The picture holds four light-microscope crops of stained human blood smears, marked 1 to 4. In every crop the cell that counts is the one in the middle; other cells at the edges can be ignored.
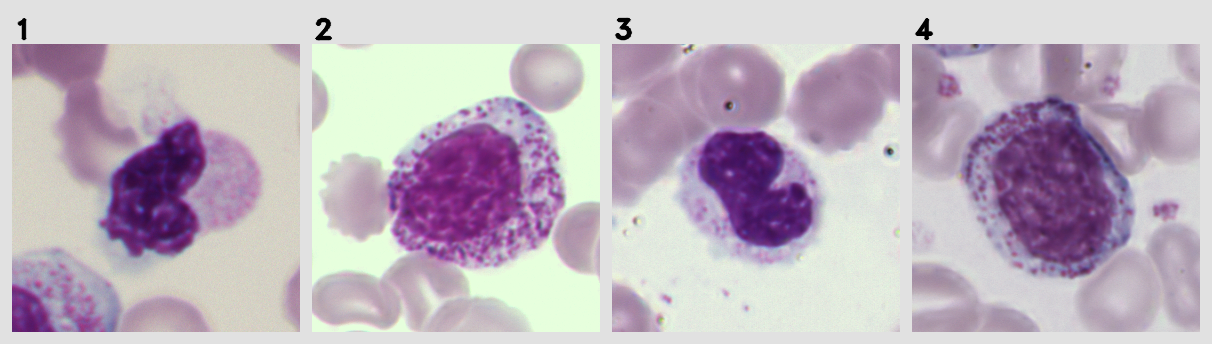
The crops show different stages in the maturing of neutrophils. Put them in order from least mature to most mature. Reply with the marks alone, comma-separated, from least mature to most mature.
4, 2, 3, 1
